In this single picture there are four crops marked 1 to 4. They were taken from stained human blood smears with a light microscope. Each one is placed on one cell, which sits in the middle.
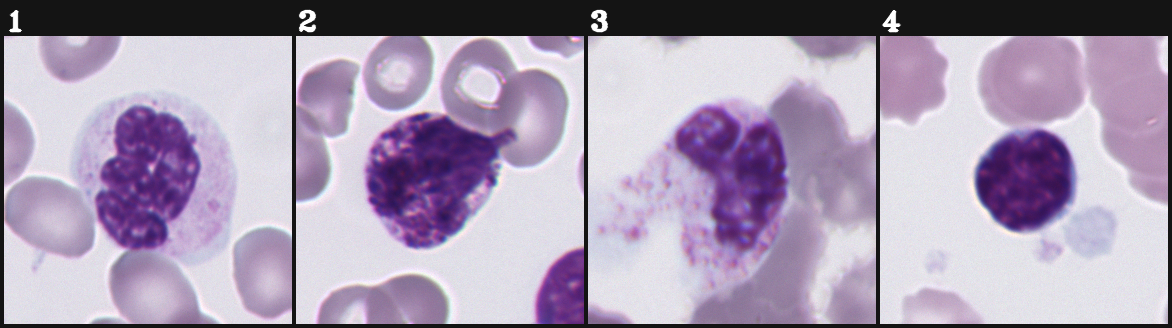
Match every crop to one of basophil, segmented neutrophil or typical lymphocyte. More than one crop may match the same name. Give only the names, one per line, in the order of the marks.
segmented neutrophil
basophil
segmented neutrophil
typical lymphocyte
